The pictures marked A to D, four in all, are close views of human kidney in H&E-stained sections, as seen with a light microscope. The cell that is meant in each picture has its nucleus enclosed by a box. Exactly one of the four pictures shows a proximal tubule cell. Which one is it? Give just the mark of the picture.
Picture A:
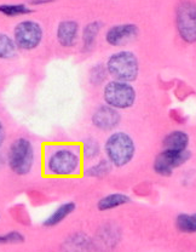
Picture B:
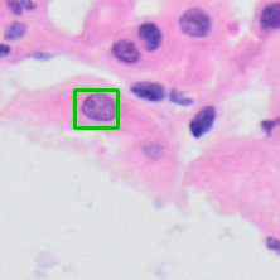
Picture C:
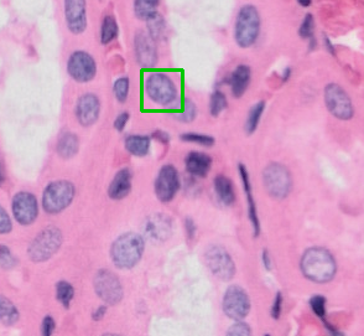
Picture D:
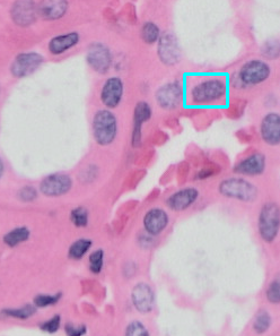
B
